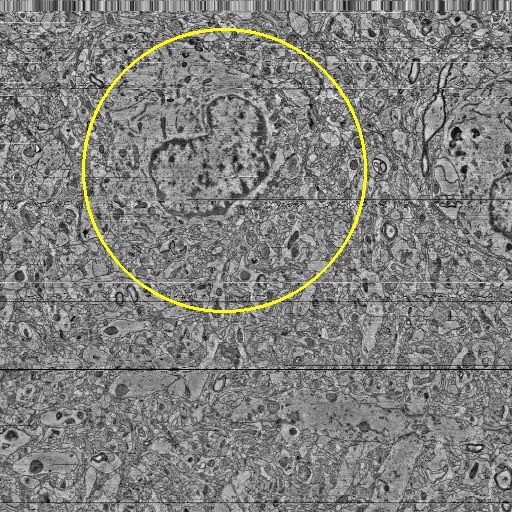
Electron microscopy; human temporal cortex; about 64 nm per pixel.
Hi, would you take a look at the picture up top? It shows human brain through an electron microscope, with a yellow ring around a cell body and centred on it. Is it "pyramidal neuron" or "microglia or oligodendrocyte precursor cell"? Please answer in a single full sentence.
The best fit for the cell in the middle of the ring is a microglial cell or oligodendrocyte precursor cell, I reckon.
